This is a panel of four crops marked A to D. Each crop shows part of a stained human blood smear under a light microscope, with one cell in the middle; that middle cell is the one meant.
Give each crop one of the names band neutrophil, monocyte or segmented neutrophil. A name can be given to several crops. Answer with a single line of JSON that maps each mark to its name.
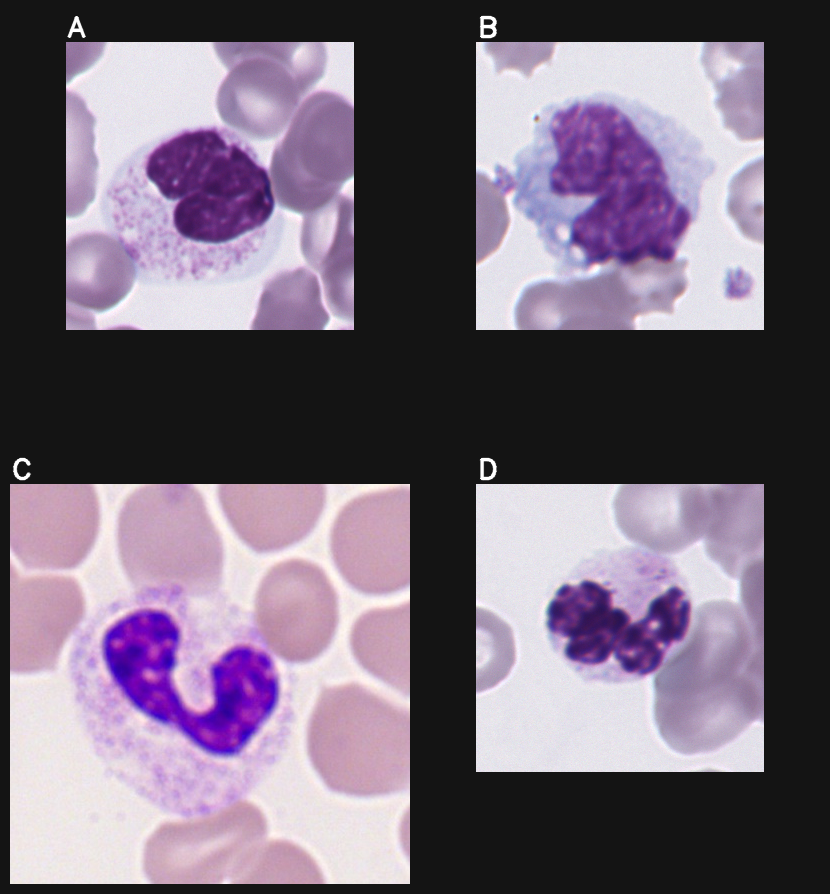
{"A": "band neutrophil", "B": "monocyte", "C": "band neutrophil", "D": "segmented neutrophil"}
